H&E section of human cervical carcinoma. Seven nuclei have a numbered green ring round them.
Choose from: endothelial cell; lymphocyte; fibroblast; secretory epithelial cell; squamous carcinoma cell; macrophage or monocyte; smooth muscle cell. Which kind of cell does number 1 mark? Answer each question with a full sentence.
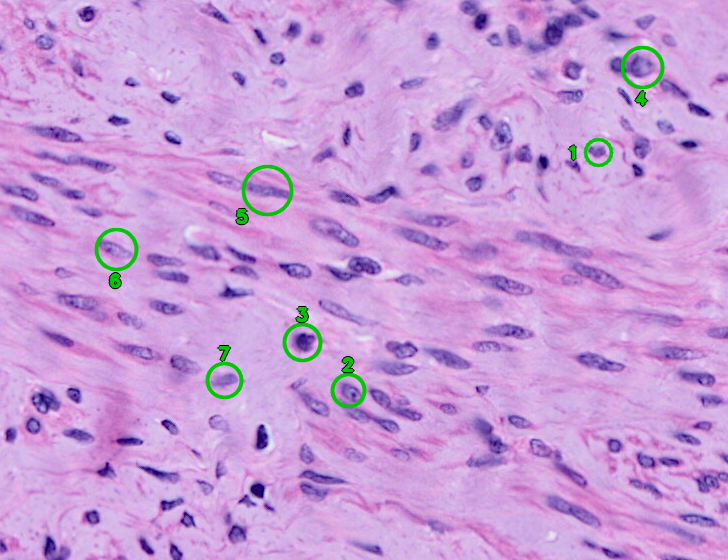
Cell 1 should be recorded as a smooth muscle cell.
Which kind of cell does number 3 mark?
Corresponding to a lymphocyte is the cell labelled 3.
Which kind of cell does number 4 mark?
In this section, the cell tagged 4 is an endothelial cell.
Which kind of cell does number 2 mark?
Heads up, the cell numbered 2 is a smooth muscle cell.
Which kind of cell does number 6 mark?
In this section, the cell numbered 6 is a smooth muscle cell.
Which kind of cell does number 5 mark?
Cell 5 in the field of view is a smooth muscle cell.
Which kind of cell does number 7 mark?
The cell that goes by number 7 is a fibroblast.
